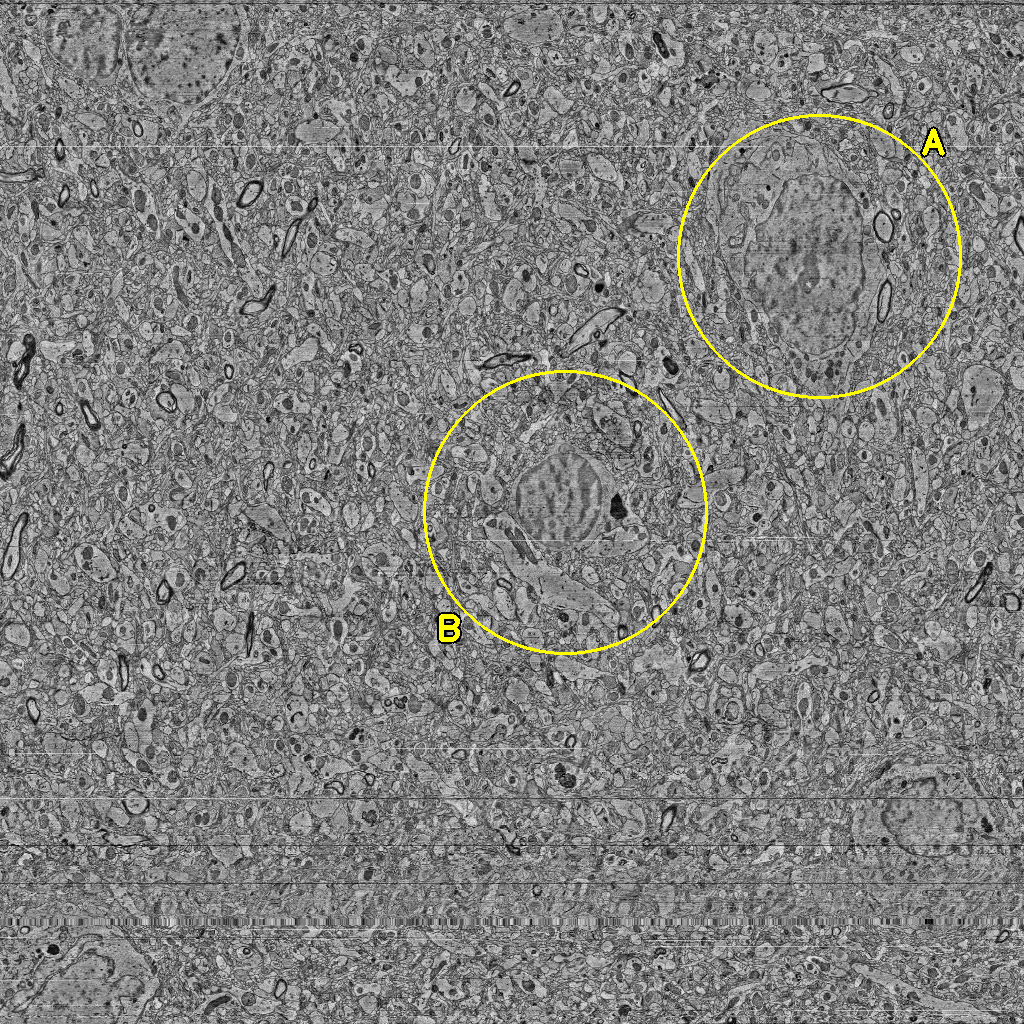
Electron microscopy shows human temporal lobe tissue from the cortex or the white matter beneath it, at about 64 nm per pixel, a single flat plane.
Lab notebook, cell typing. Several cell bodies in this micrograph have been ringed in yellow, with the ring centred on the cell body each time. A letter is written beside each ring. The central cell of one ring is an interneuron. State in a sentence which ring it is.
It is ring A.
